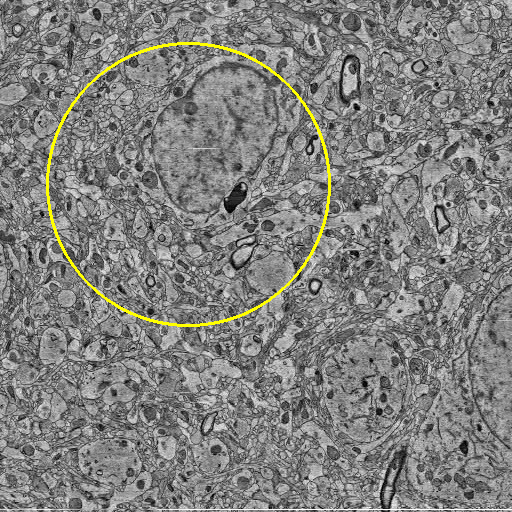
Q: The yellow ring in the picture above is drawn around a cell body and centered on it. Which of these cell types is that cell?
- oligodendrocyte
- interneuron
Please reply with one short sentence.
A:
The cell body at the ring's center belongs to an interneuron.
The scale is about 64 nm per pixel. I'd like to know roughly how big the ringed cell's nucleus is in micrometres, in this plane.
Roughly 10 by 7 micrometres is the size of the nucleus in this plane.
